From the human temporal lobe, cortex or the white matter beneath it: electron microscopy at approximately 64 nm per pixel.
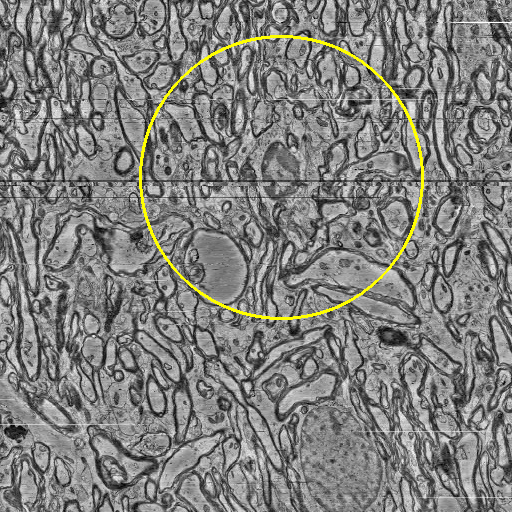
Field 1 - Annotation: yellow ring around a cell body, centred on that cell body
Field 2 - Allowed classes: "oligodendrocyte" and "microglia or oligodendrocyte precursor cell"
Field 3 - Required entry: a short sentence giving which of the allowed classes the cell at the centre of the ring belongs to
The centred cell is a microglial cell or oligodendrocyte precursor cell.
